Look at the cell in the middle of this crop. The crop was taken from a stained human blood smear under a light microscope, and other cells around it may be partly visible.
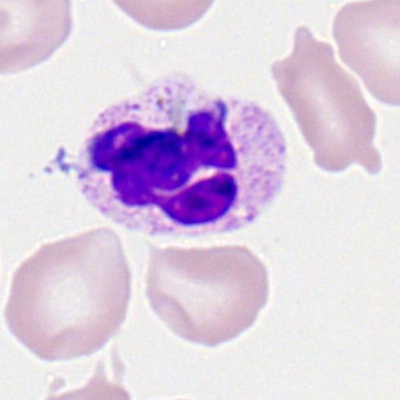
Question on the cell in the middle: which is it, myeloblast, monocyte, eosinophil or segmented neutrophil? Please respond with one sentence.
The centrally placed cell is classified as a segmented neutrophil.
